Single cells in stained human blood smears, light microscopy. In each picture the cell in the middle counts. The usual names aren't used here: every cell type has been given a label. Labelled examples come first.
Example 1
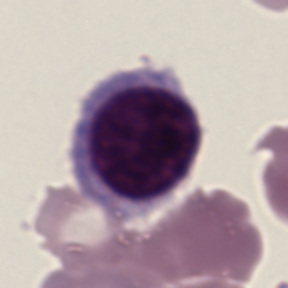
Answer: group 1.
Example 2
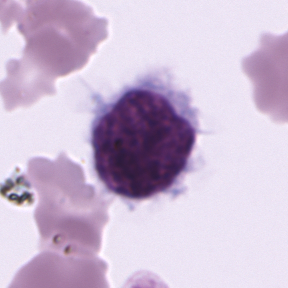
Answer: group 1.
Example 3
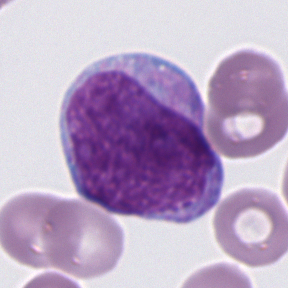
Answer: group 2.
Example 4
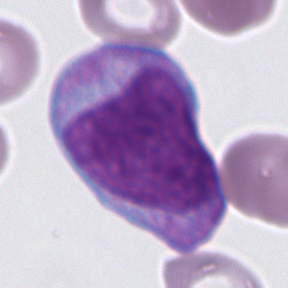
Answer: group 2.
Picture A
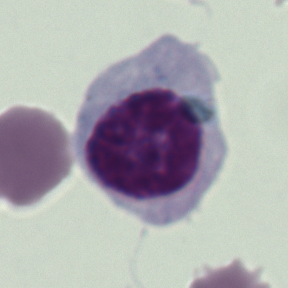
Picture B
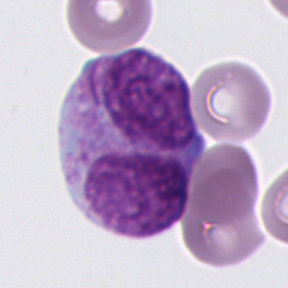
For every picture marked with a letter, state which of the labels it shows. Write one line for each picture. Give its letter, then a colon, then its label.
A: group 1.
B: group 2.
